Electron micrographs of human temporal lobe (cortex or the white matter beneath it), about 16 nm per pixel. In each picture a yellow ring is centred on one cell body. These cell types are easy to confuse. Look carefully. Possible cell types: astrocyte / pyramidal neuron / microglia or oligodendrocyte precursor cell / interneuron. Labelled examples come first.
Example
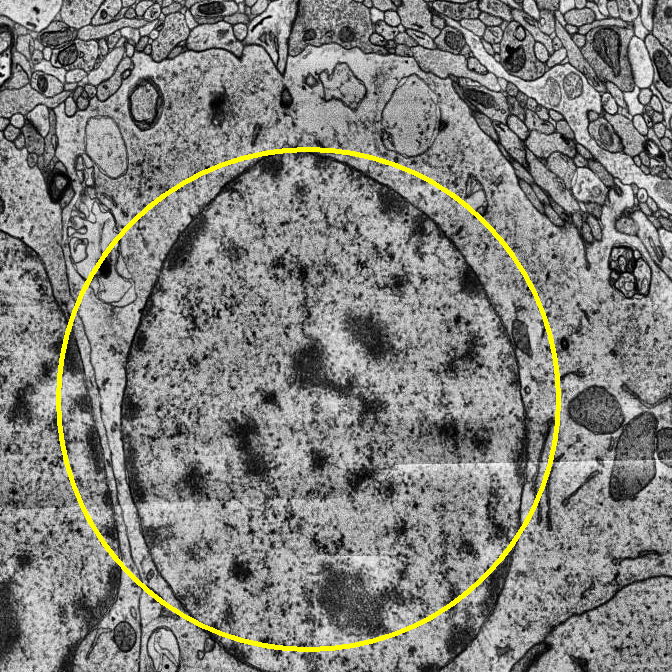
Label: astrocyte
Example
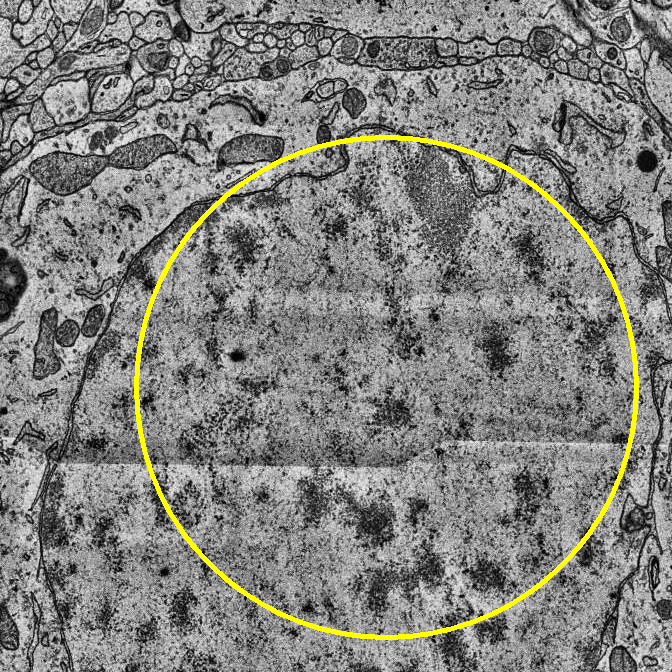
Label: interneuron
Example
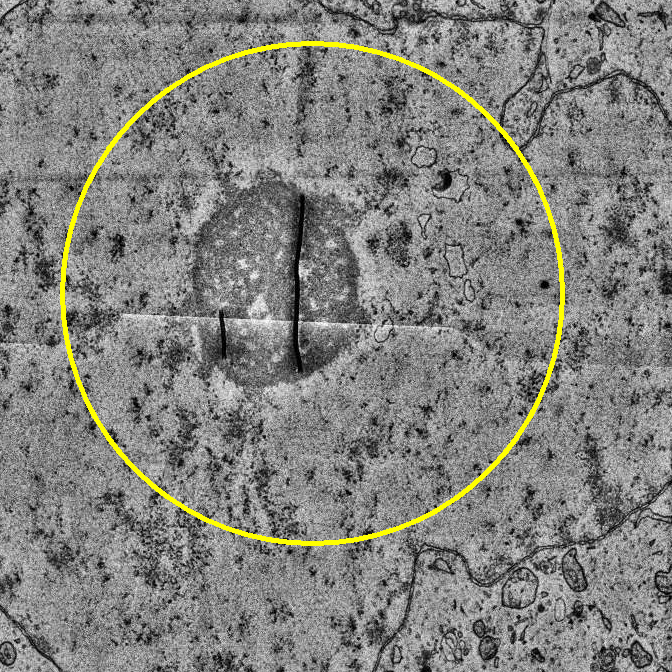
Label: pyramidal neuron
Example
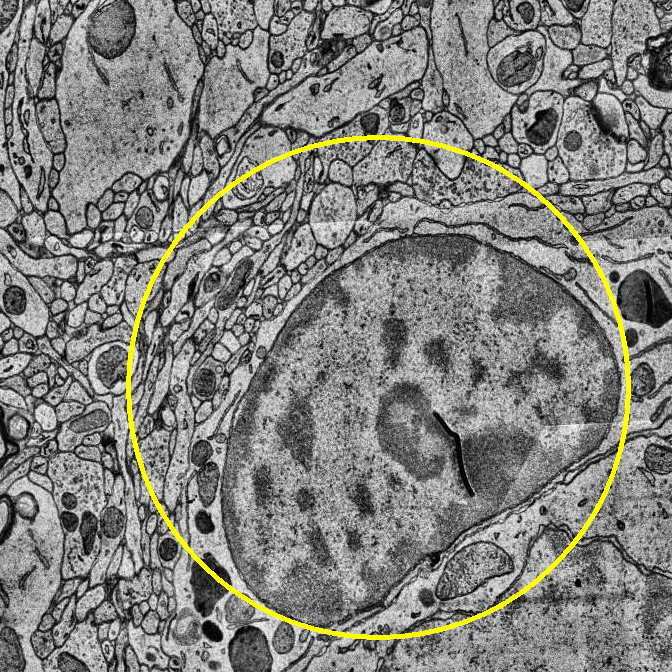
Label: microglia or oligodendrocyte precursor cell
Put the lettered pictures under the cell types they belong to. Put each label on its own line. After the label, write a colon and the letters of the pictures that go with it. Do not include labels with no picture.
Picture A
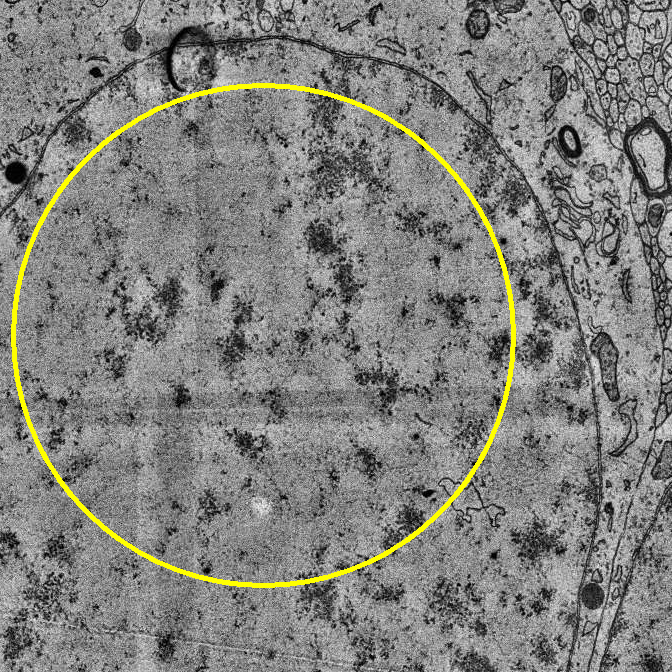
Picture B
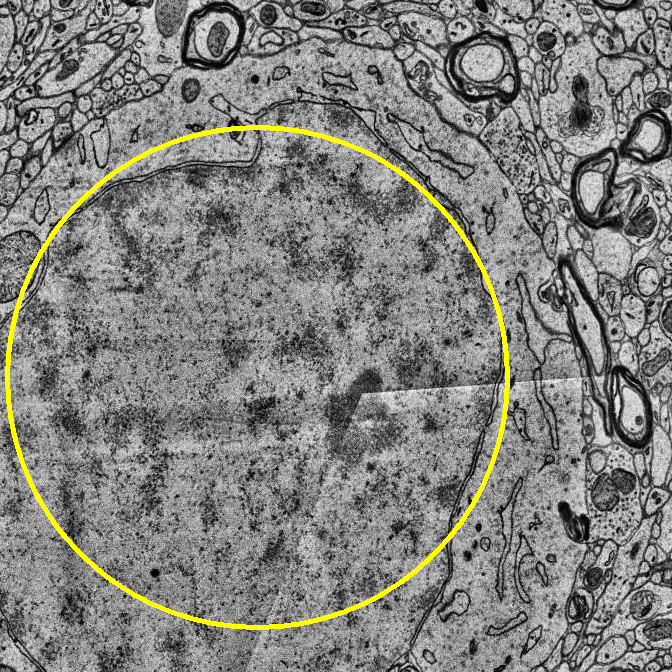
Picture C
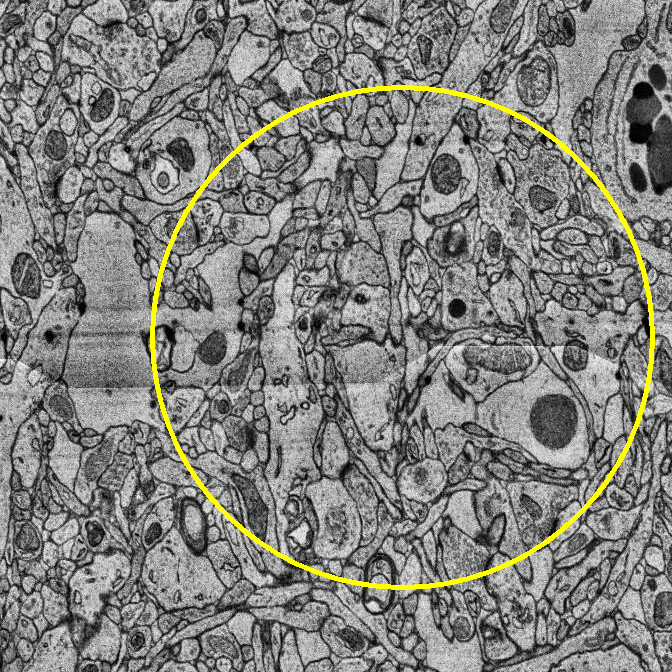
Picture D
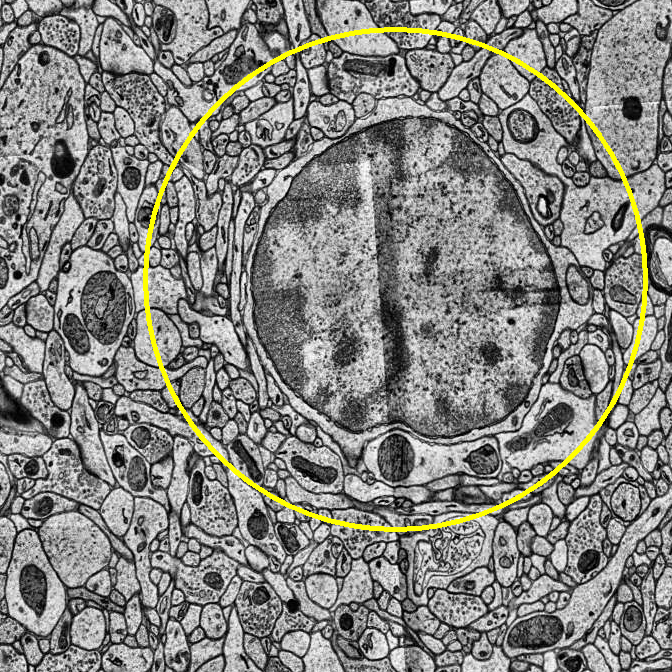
pyramidal neuron: A
microglia or oligodendrocyte precursor cell: C, D
interneuron: B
